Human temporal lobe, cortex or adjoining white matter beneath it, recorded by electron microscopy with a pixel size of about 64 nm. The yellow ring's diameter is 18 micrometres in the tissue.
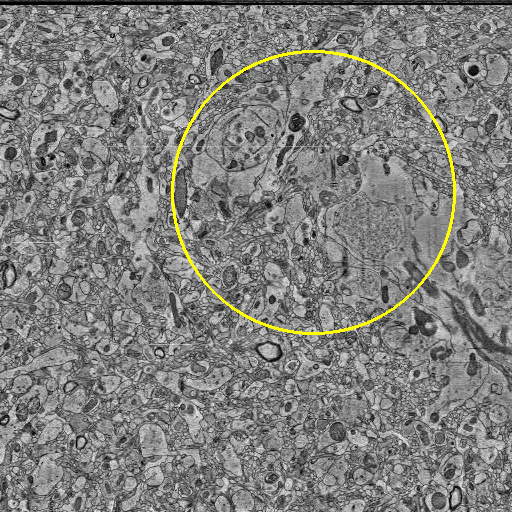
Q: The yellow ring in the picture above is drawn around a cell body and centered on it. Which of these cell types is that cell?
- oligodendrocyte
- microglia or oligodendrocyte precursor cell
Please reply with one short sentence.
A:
The cell body at the ring's center belongs to an oligodendrocyte.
